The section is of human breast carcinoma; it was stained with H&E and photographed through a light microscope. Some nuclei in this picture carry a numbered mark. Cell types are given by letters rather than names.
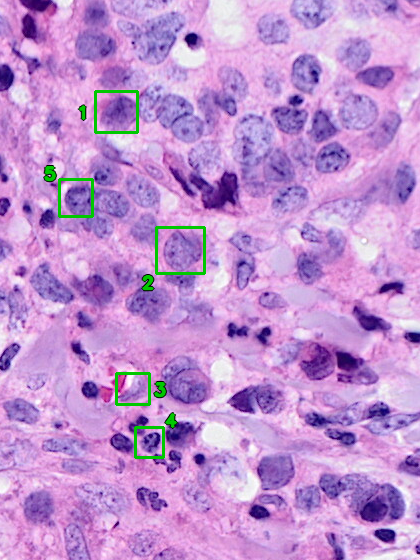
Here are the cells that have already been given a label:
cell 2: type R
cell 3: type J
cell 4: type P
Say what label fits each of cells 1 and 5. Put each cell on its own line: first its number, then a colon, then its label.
1: type R
5: type R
